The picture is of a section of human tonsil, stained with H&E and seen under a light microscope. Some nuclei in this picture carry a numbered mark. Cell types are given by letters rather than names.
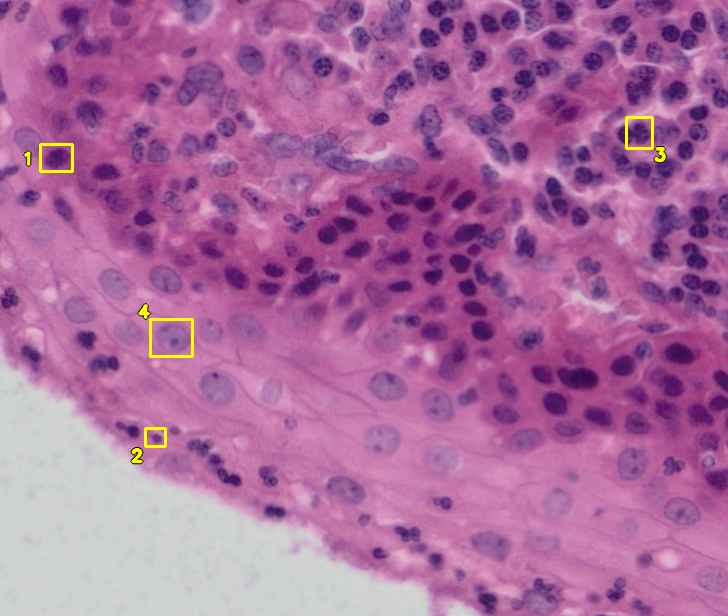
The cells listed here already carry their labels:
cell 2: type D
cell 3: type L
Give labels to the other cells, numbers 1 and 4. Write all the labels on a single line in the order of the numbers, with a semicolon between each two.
type D; type D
